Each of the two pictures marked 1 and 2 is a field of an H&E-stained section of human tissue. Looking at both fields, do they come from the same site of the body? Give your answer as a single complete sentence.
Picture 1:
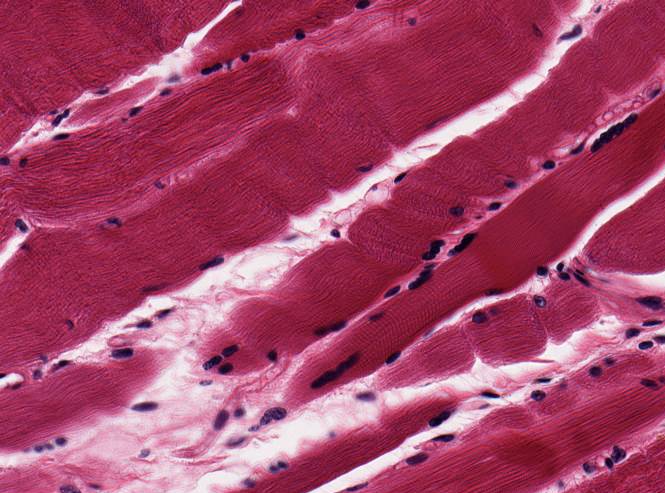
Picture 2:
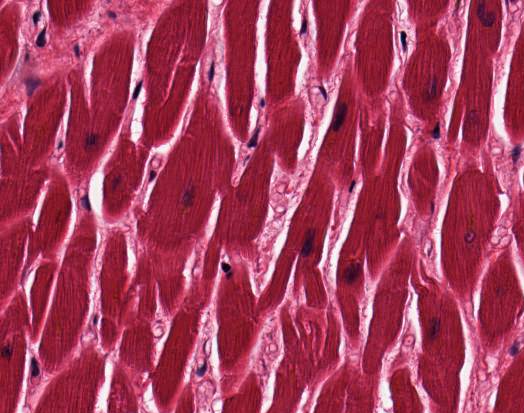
No. Picture 1 comes from skeletal muscle, whereas picture 2 comes from the atrial appendage of the heart.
